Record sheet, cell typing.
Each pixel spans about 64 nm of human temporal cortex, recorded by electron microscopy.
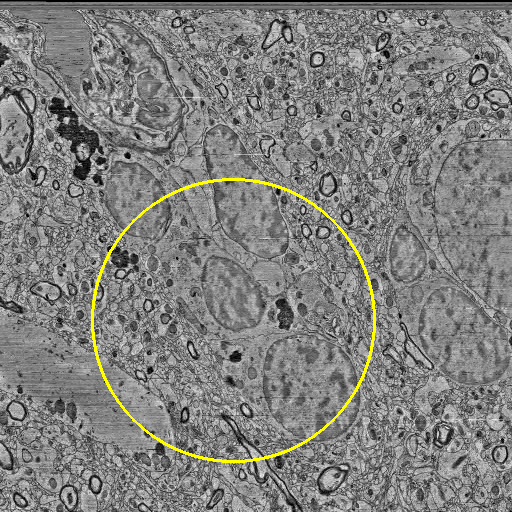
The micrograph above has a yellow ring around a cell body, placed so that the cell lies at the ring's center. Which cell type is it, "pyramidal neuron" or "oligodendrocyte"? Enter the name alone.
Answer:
oligodendrocyte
